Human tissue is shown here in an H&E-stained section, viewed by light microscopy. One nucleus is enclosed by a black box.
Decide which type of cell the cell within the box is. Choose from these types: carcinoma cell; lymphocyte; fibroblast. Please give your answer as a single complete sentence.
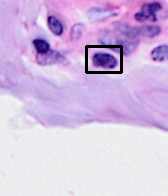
Among the cells in this section, the cell within the box is a lymphocyte.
